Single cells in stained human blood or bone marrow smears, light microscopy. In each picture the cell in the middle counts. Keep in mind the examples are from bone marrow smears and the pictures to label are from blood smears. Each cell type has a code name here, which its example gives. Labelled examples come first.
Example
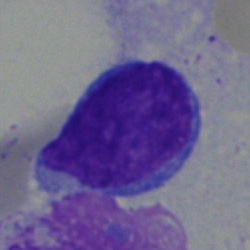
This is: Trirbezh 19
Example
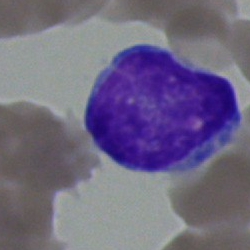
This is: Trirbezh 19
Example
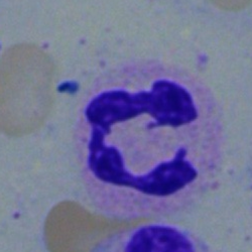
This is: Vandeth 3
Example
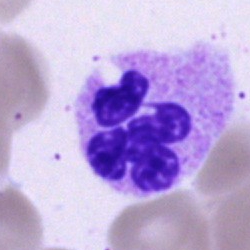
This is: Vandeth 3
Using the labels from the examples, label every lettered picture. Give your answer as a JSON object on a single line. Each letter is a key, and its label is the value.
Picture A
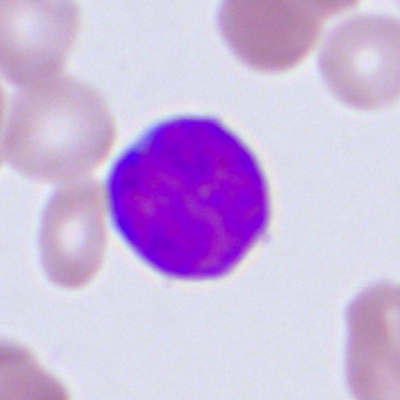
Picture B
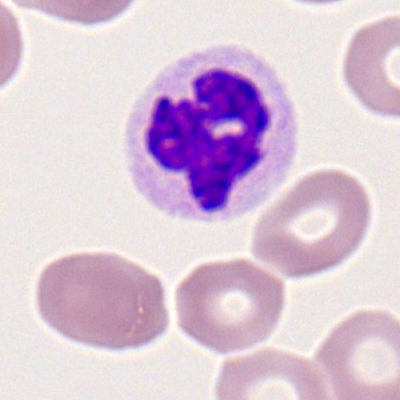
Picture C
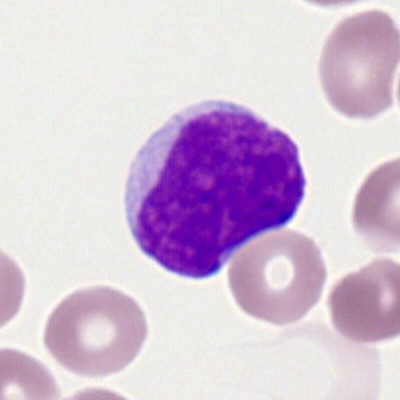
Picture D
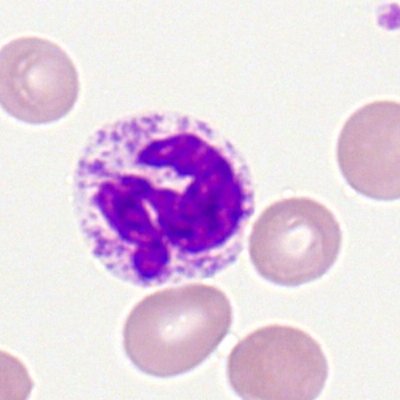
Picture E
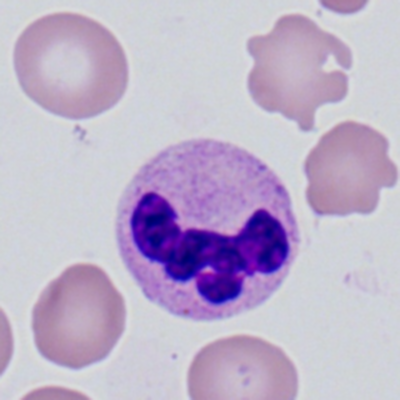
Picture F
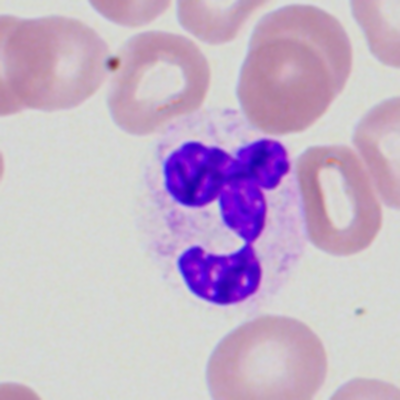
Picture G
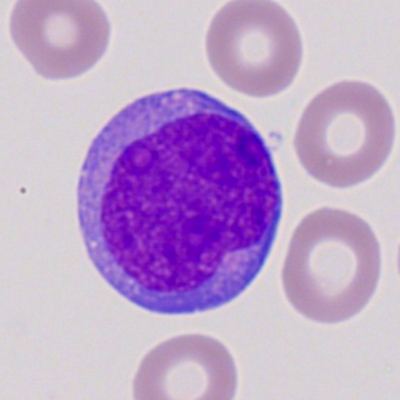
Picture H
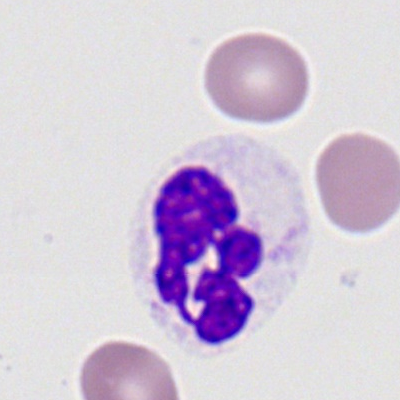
{"A": "Trirbezh 19", "B": "Vandeth 3", "C": "Trirbezh 19", "D": "Vandeth 3", "E": "Vandeth 3", "F": "Vandeth 3", "G": "Trirbezh 19", "H": "Vandeth 3"}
